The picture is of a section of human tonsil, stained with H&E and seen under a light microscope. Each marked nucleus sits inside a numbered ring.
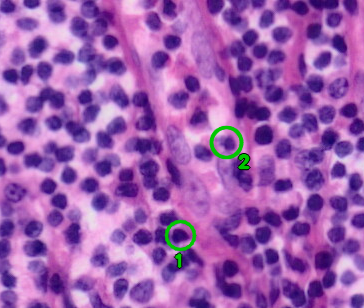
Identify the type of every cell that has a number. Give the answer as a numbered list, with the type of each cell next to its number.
1. small lymphocyte
2. endothelial cell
